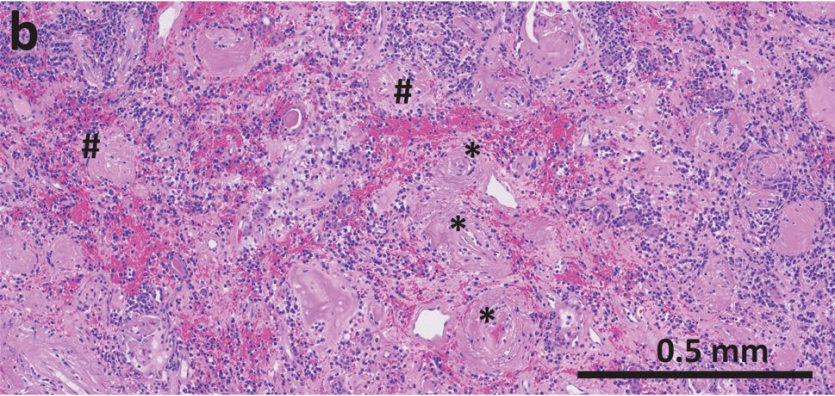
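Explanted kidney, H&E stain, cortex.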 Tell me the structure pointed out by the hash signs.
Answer: Globally sclerosed glomeruli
